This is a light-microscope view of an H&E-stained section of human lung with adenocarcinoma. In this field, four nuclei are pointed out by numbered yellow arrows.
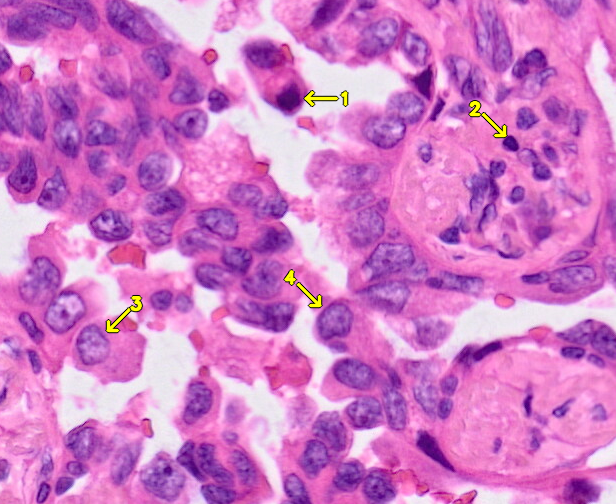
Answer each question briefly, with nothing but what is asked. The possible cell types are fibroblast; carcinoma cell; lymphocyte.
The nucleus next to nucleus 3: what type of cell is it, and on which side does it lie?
a carcinoma cell, above and to the left of nucleus 3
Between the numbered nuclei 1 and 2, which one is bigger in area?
1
